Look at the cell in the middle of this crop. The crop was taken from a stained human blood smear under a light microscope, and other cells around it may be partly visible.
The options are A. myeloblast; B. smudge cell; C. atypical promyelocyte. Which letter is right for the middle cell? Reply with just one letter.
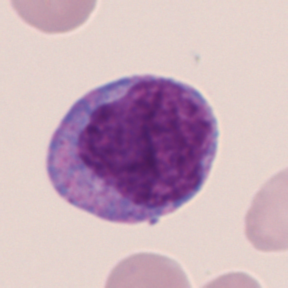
C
